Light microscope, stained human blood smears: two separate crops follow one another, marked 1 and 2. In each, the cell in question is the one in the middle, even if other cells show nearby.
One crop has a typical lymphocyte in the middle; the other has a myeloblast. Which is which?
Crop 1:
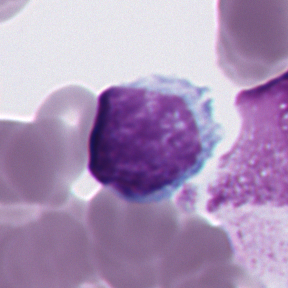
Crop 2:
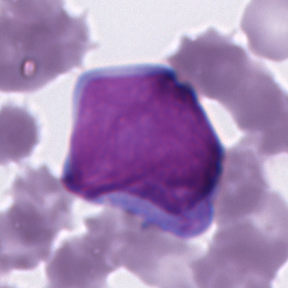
1: typical lymphocyte
2: myeloblast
